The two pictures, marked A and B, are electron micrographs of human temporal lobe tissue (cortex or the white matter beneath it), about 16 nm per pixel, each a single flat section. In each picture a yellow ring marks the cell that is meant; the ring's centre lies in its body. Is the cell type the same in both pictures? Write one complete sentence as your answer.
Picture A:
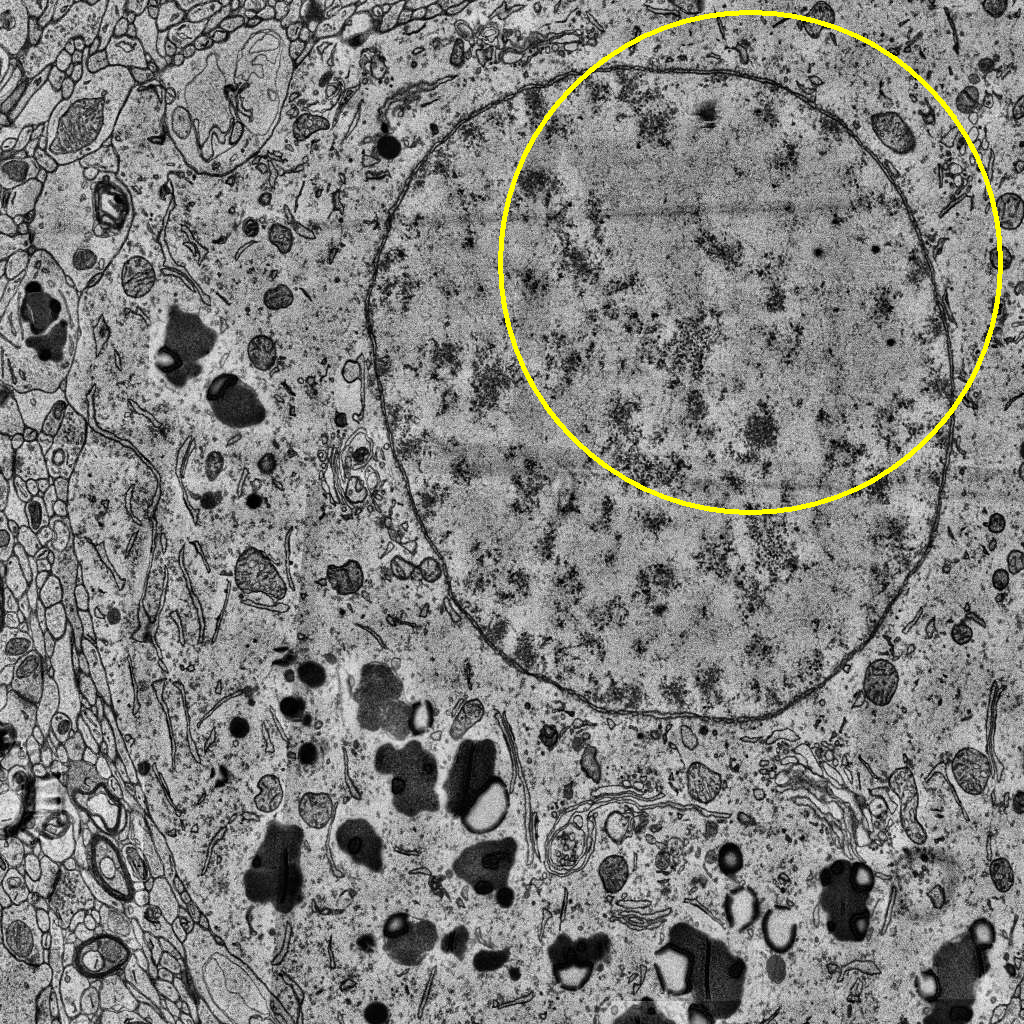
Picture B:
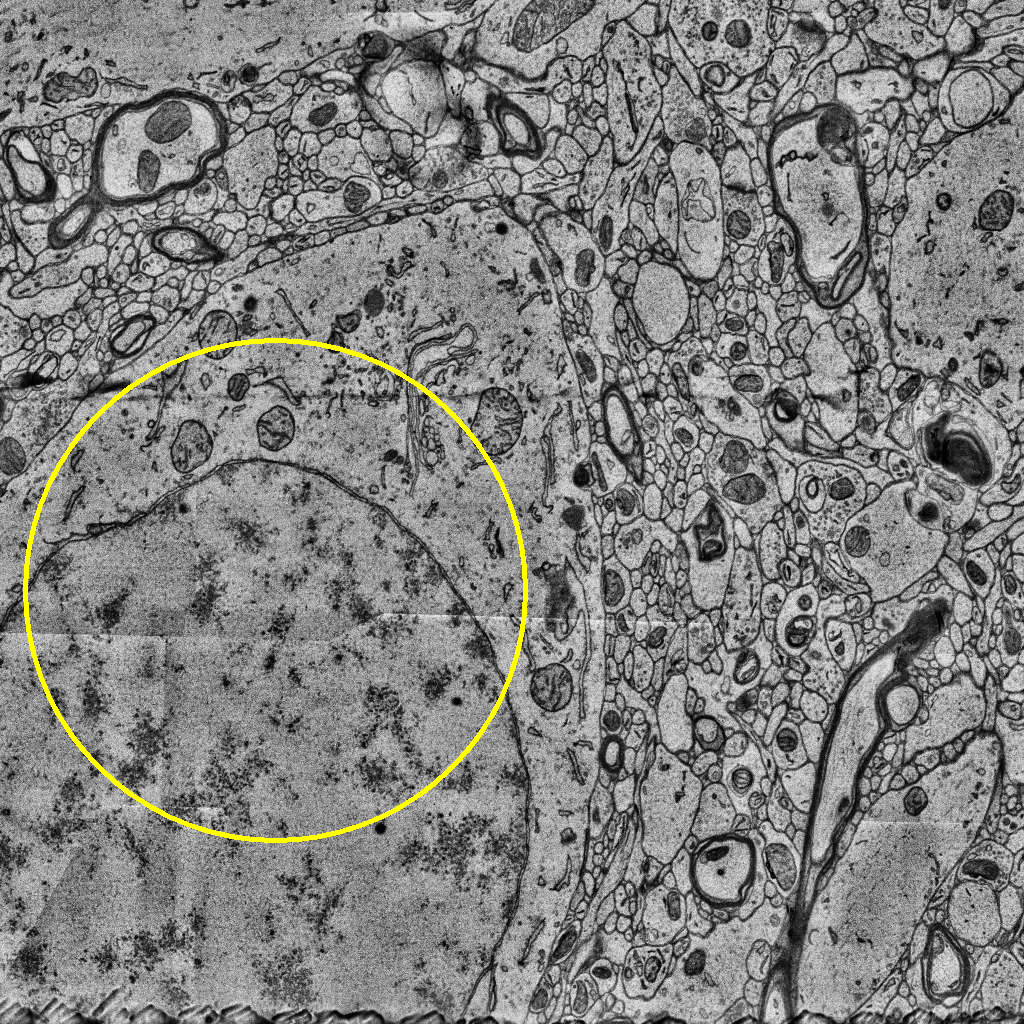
Yes; the cells in both pictures are pyramidal neurons.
